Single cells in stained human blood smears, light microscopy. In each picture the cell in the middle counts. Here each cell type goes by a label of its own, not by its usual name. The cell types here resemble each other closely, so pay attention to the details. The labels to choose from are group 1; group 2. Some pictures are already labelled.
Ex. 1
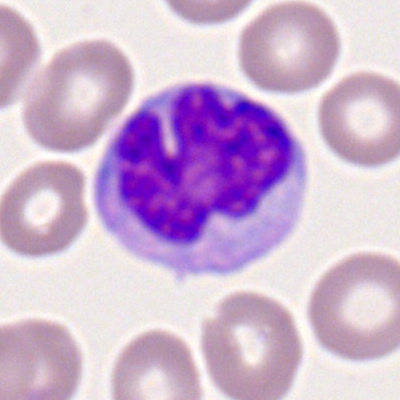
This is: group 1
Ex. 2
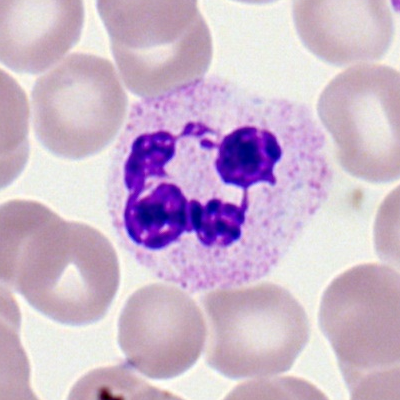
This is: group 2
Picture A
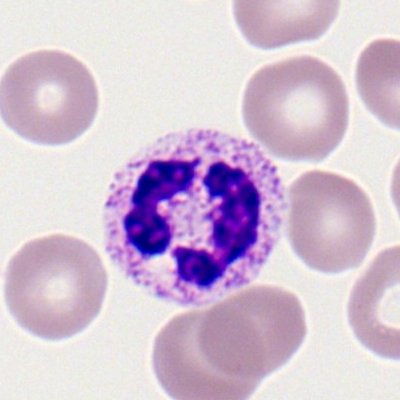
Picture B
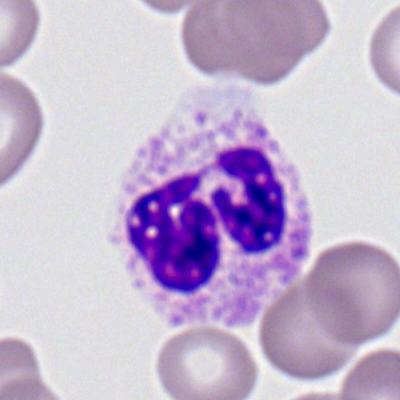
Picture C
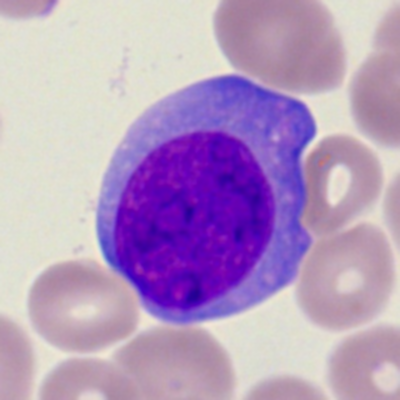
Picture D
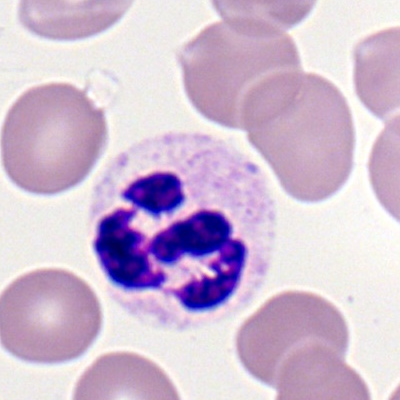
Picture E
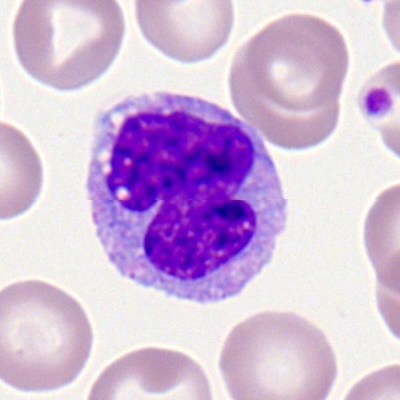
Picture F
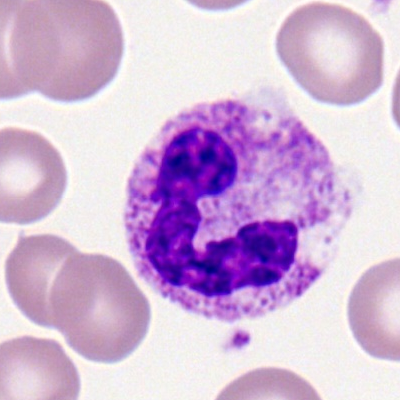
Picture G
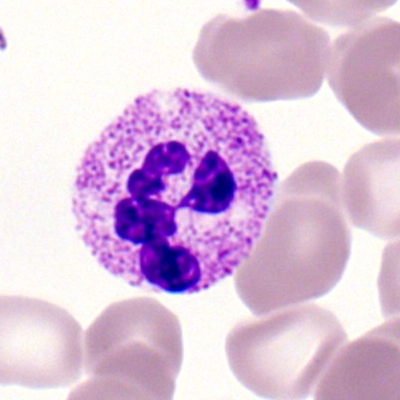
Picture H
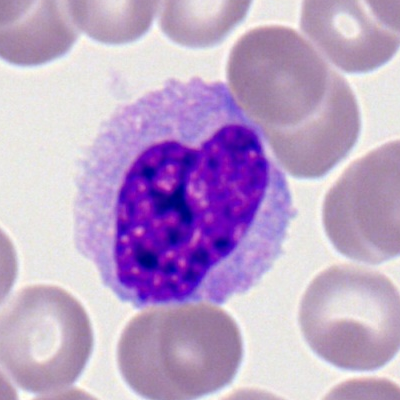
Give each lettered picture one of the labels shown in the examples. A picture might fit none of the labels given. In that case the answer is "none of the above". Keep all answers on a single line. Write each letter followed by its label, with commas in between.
A group 2, B group 2, C none of the above, D group 2, E group 1, F group 2, G group 2, H group 1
